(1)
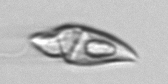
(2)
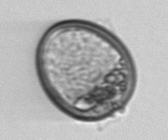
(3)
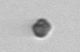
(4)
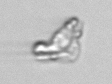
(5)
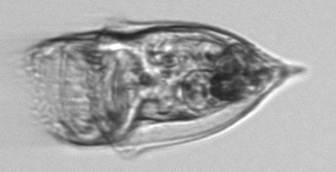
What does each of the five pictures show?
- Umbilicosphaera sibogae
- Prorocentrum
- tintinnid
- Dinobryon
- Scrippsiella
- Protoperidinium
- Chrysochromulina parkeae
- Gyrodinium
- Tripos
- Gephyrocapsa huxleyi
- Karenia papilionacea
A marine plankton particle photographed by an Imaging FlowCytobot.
1. Gyrodinium
2. Prorocentrum
3. Gephyrocapsa huxleyi
4. Karenia papilionacea
5. tintinnid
